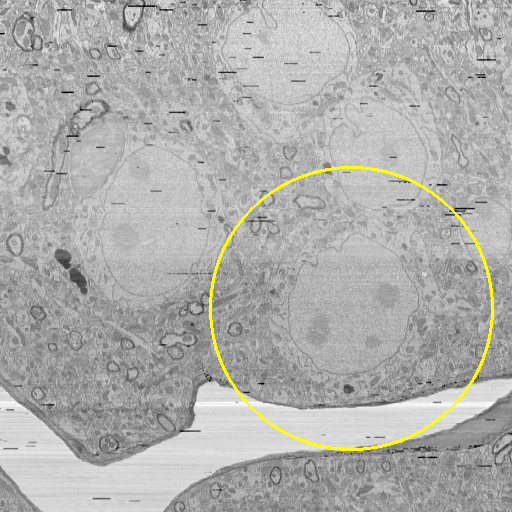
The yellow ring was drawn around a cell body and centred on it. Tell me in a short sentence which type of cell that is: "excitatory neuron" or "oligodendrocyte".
The cell at the ring's centre is an excitatory neuron.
